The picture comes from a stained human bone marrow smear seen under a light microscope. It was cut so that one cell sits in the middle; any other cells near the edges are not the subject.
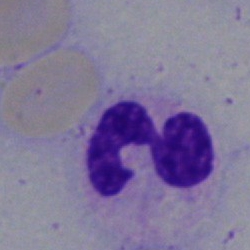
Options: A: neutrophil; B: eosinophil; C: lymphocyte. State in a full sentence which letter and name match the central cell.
The cell in the centre of the crop is a neutrophil, so option A is the correct one.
